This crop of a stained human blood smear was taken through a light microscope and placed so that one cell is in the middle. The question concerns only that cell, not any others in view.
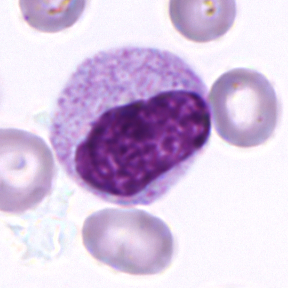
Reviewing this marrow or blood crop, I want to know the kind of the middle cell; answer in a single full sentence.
The cell at the central position in this crop is a metamyelocyte.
